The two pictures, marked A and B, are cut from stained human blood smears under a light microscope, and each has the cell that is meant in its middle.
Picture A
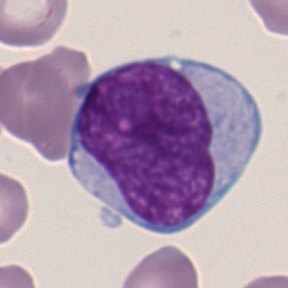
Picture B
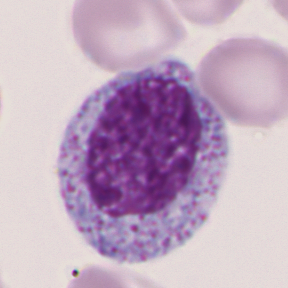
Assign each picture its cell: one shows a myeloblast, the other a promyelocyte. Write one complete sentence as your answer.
In picture A the cell is a myeloblast; in picture B, a promyelocyte.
